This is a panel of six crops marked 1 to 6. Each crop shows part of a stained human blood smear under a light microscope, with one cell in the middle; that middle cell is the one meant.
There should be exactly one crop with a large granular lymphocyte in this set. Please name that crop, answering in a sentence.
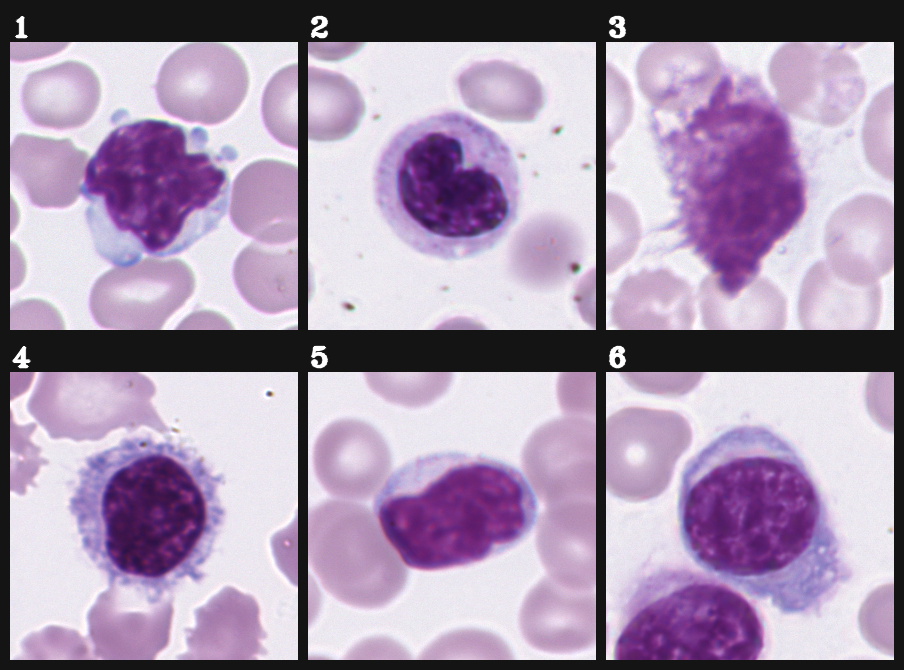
Among all the crops given here, the one with a large granular lymphocyte is crop 5.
